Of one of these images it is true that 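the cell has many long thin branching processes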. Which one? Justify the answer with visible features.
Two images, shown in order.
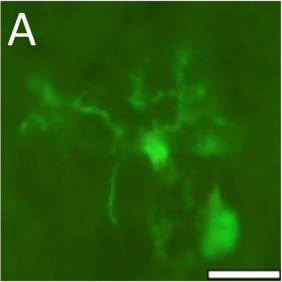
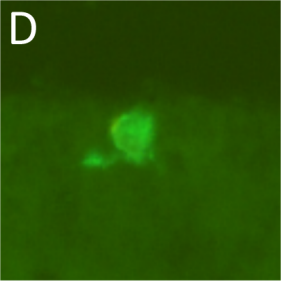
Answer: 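Second image: a compact cell body with only one short stubby process. First image: a small cell body with many long, fine, branching processes.
Hence: the first image.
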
